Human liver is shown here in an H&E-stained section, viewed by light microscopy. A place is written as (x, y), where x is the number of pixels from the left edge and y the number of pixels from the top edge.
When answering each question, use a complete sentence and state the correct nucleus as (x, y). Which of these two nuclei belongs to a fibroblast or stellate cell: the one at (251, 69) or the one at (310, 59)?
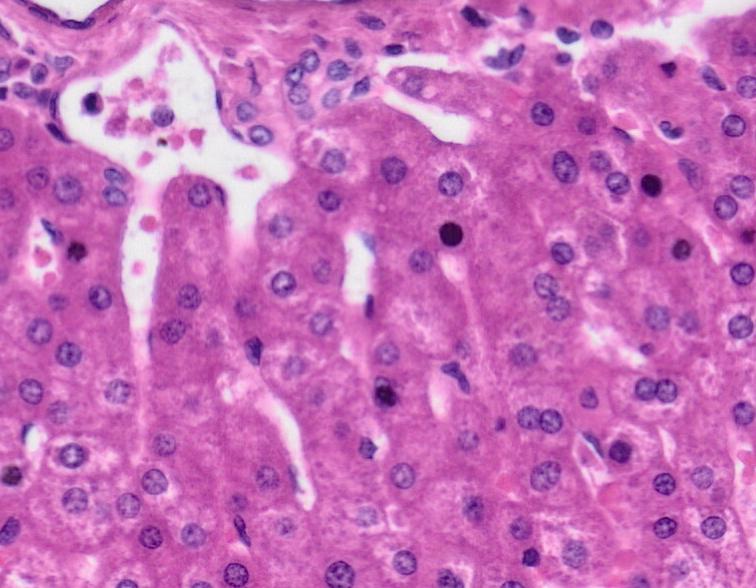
Of the two nuclei, the nucleus belonging to a fibroblast or stellate cell is located at (251, 69).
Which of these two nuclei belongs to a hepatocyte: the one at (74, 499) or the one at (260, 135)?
The nucleus at (74, 499) is the one of the two that belongs to a hepatocyte.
